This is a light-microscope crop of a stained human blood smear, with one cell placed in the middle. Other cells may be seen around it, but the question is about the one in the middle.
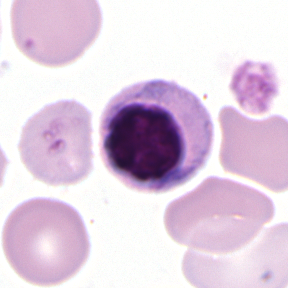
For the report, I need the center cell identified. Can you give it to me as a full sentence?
In the middle of this smear crop is an erythroblast.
